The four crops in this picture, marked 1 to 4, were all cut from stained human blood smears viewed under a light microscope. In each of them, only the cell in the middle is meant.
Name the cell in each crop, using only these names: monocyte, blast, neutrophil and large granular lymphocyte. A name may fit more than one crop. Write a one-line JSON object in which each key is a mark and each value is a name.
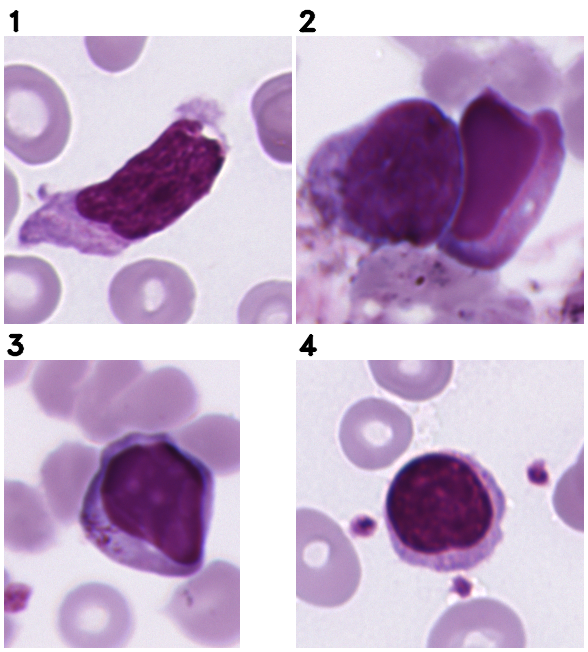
{"1": "large granular lymphocyte", "2": "blast", "3": "large granular lymphocyte", "4": "large granular lymphocyte"}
